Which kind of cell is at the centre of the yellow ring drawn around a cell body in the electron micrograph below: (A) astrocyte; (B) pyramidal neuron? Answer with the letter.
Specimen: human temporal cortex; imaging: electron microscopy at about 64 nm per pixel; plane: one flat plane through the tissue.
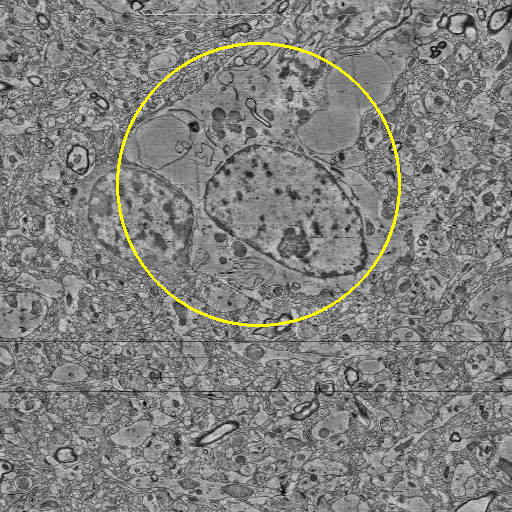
A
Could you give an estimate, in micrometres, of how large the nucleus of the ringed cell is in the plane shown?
The nucleus comes to approximately 11 by 7 micrometres and is clearly longer than it is wide in this plane.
